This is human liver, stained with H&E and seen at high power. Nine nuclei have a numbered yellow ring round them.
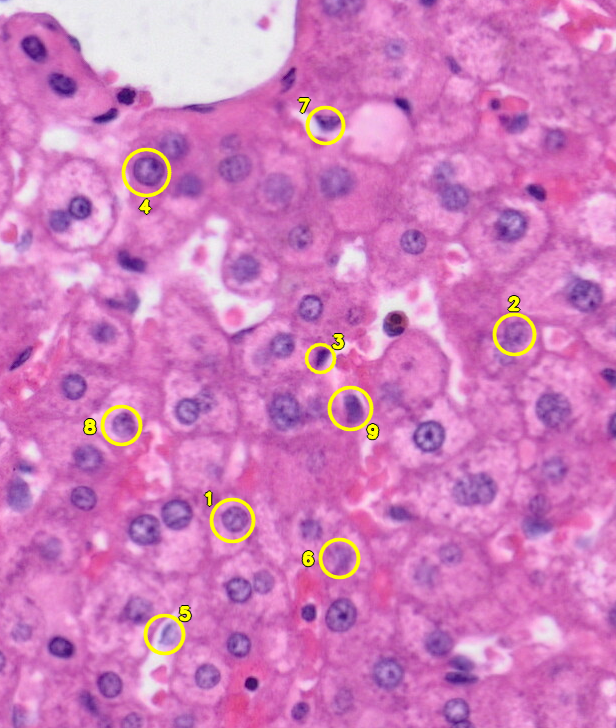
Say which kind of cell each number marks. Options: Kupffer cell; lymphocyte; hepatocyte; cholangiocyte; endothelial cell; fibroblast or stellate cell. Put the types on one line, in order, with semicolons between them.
hepatocyte; hepatocyte; fibroblast or stellate cell; hepatocyte; endothelial cell; hepatocyte; endothelial cell; hepatocyte; Kupffer cell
